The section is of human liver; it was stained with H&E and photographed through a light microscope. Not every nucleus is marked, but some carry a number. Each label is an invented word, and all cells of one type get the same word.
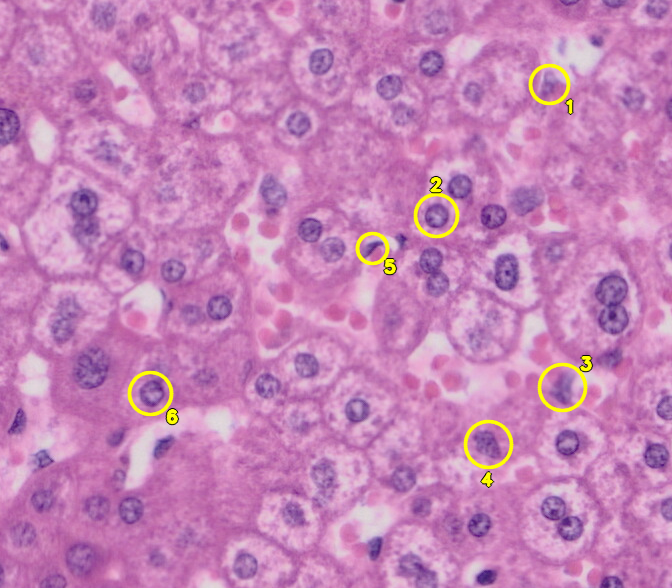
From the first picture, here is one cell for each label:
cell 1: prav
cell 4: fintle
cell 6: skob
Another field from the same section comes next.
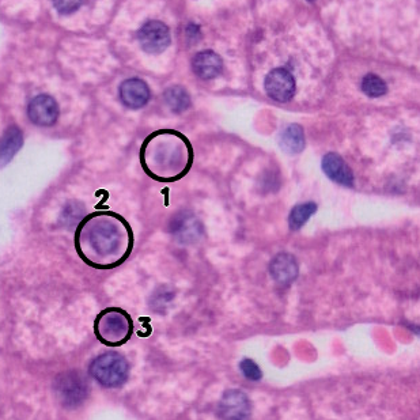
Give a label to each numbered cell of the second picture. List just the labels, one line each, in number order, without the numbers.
skob
skob
fintle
